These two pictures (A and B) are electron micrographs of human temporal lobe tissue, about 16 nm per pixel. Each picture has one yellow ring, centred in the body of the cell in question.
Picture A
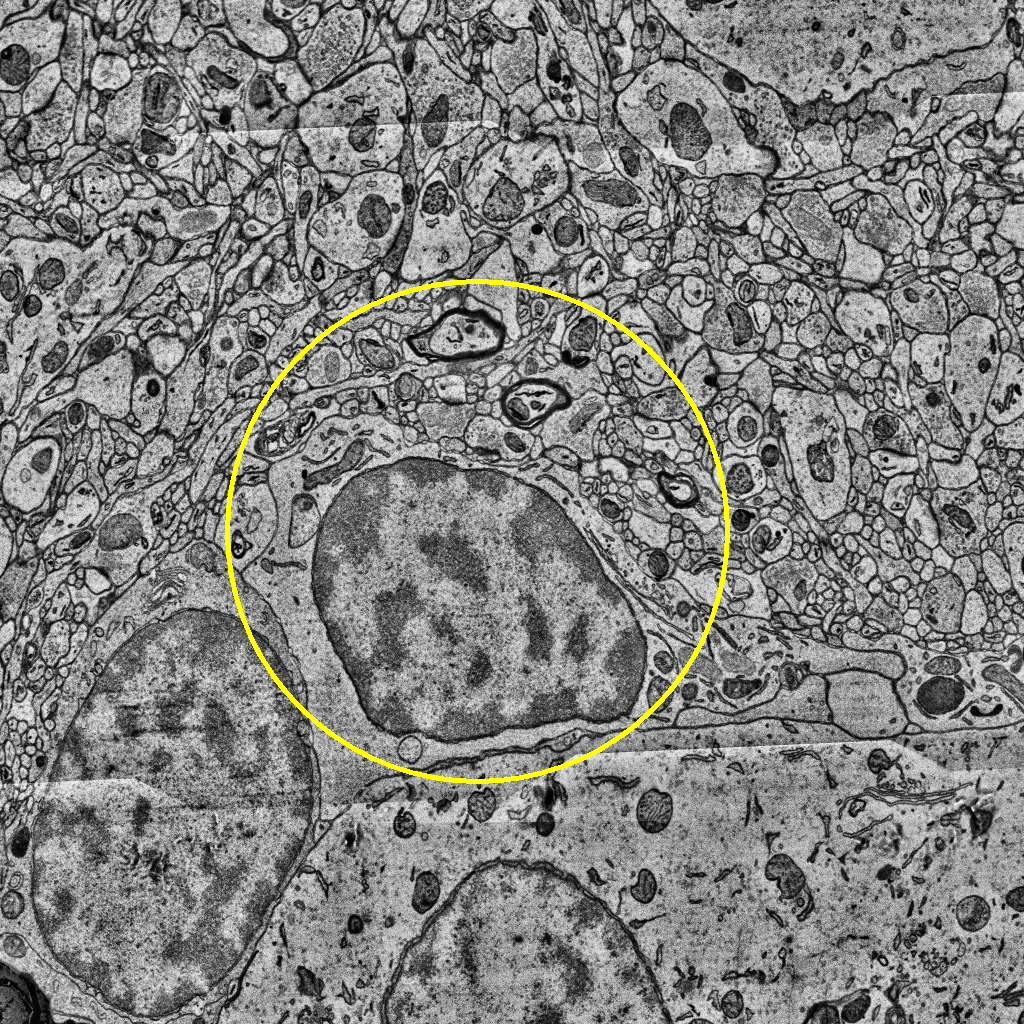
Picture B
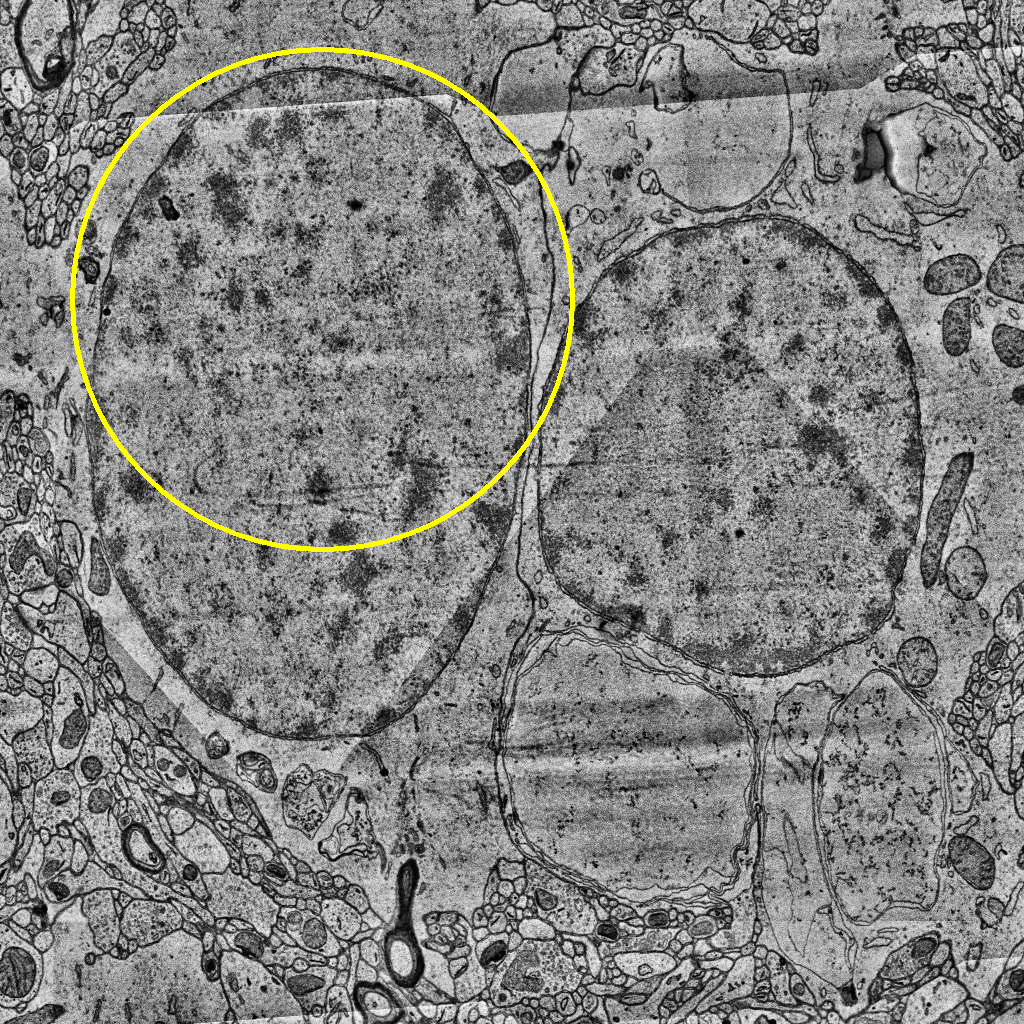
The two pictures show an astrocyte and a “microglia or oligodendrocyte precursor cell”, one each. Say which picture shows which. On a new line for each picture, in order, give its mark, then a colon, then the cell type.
A: microglia or oligodendrocyte precursor cell
B: astrocyte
